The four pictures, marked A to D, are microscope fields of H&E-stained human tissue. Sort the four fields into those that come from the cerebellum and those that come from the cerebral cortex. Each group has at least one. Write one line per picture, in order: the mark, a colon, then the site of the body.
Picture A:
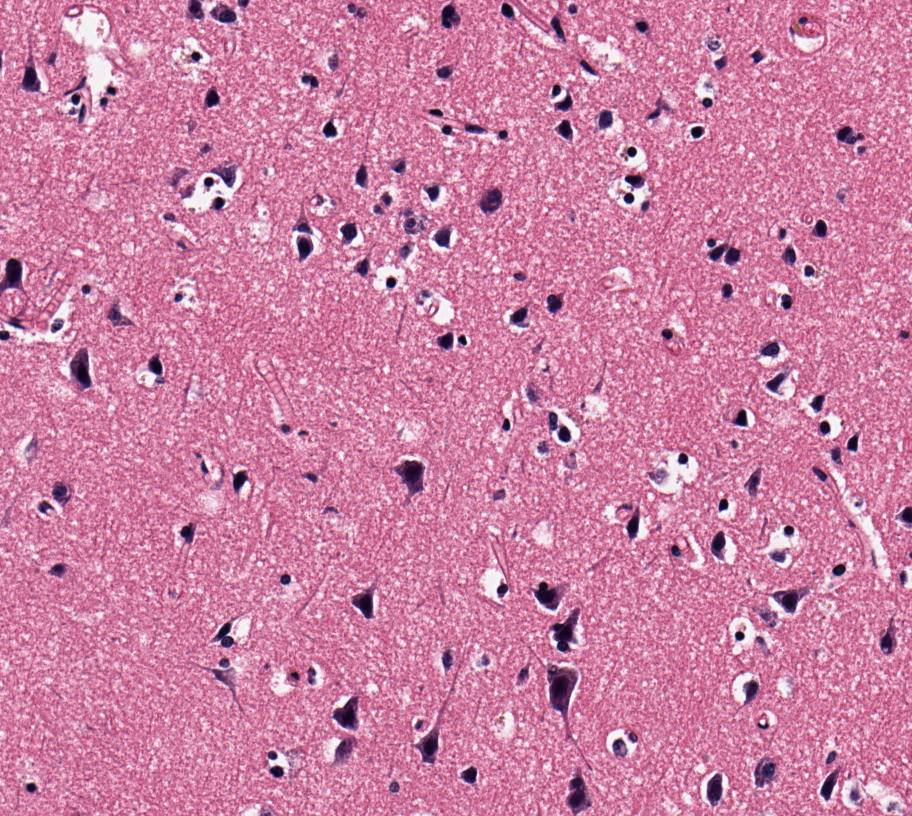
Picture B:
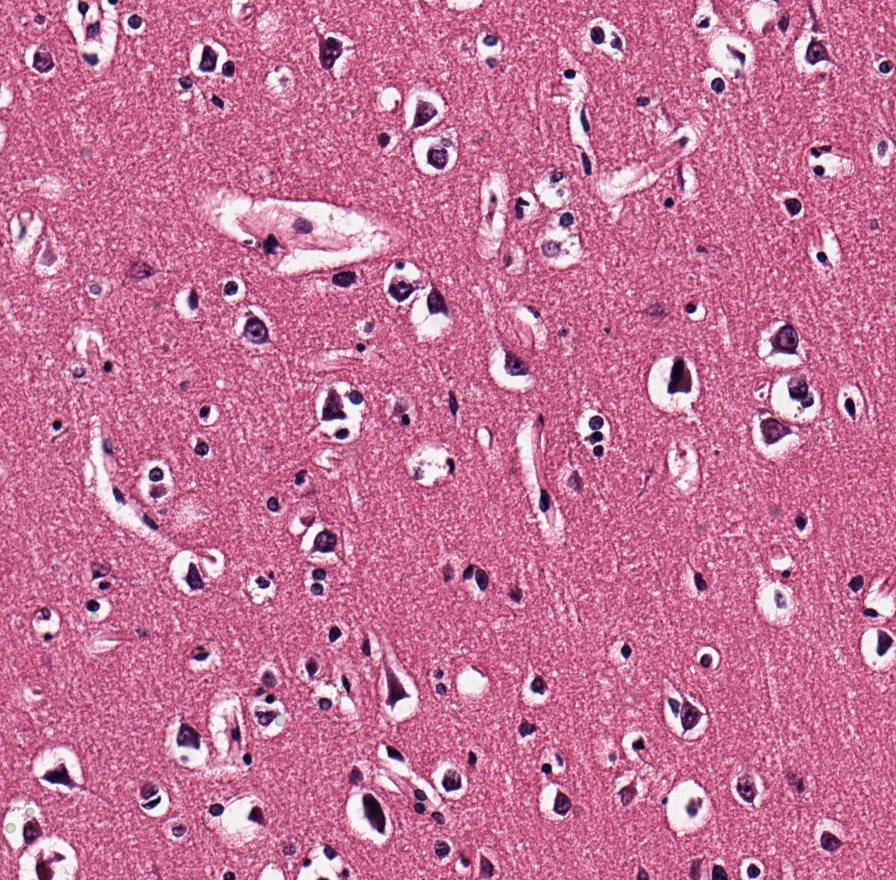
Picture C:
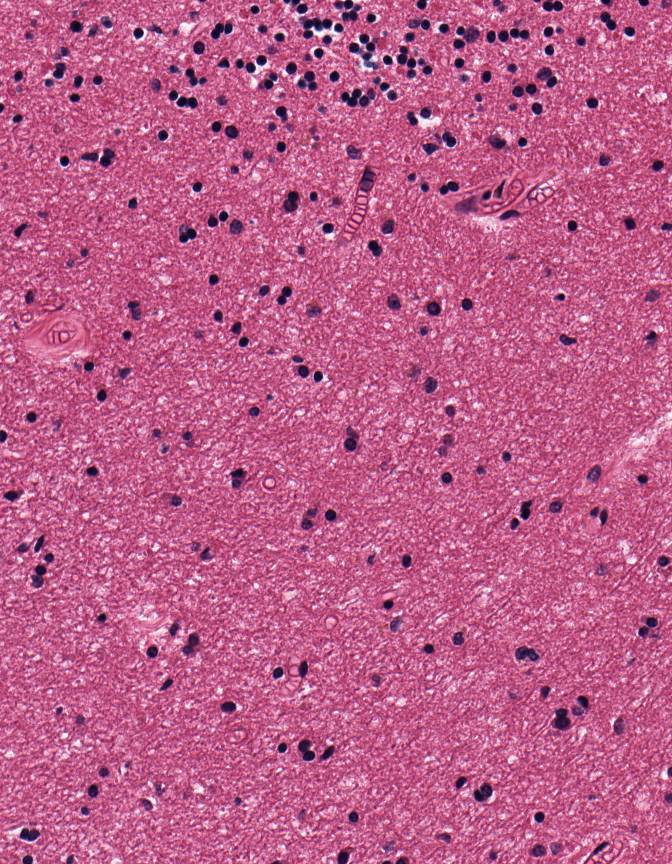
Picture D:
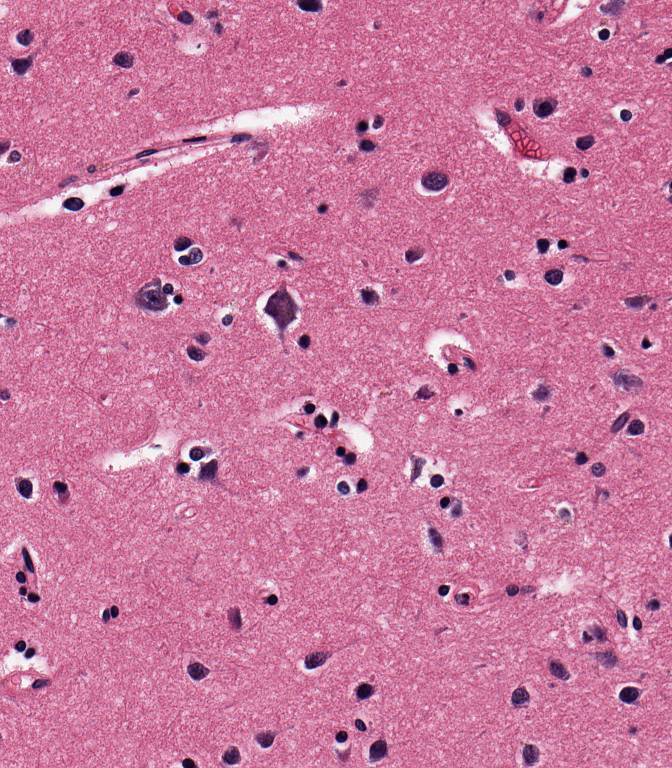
A: cerebral cortex
B: cerebral cortex
C: cerebellum
D: cerebral cortex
